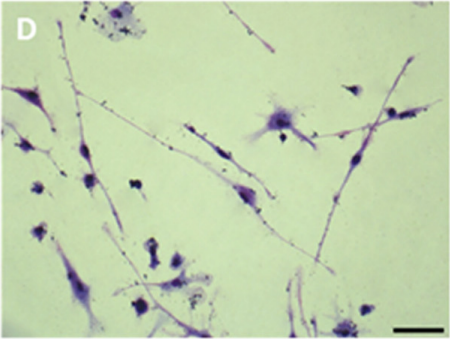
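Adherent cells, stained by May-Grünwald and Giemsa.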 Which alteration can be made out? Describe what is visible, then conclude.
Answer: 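Cells are drawn out into long, thin processes spanning much of the field. Nuclei sit in spindle-shaped cell bodies along the thin extensions. Few compact rounded cells are present.
Hence: elongated morphology.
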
